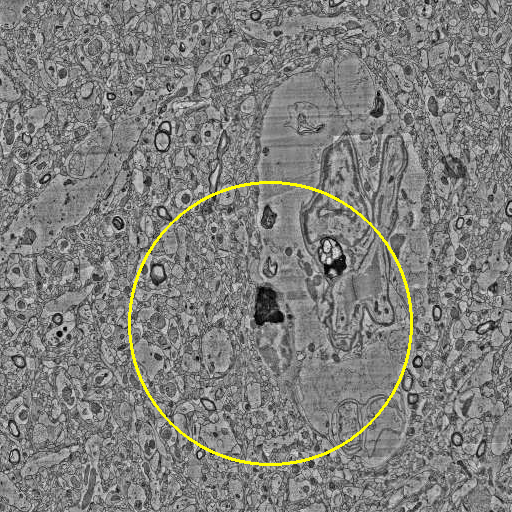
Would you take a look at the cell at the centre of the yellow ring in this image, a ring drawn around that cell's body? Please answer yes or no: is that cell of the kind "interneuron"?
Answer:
no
